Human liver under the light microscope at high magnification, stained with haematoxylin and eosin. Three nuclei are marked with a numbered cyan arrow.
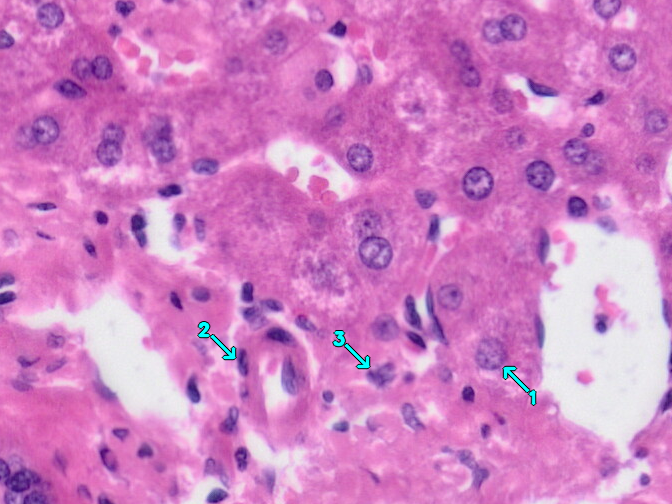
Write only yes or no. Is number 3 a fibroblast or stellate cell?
yes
